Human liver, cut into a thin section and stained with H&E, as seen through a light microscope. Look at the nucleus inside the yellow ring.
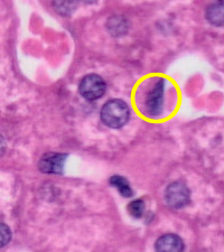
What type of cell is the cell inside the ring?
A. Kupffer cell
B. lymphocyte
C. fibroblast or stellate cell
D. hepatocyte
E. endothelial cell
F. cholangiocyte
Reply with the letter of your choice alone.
E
